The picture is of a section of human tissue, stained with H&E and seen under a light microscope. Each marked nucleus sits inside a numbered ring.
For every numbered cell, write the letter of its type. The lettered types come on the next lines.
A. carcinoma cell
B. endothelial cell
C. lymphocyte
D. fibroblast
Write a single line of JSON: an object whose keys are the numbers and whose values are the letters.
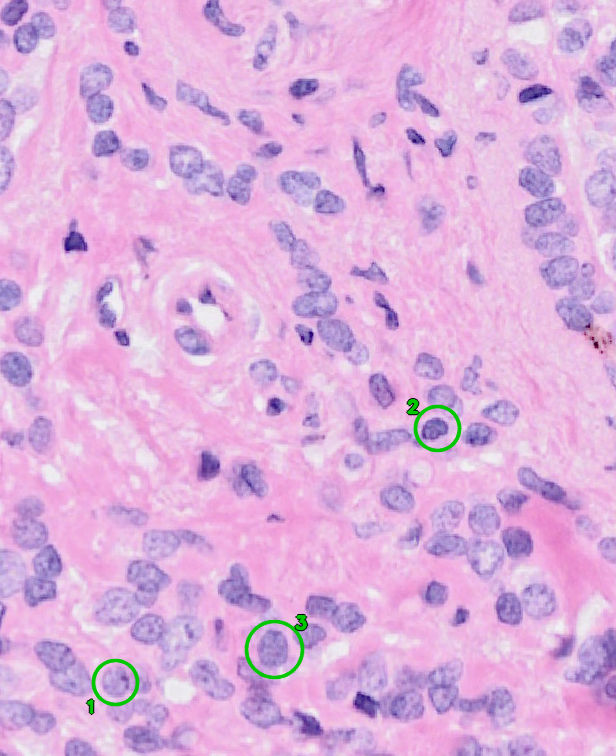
{"1": "A", "2": "C", "3": "A"}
